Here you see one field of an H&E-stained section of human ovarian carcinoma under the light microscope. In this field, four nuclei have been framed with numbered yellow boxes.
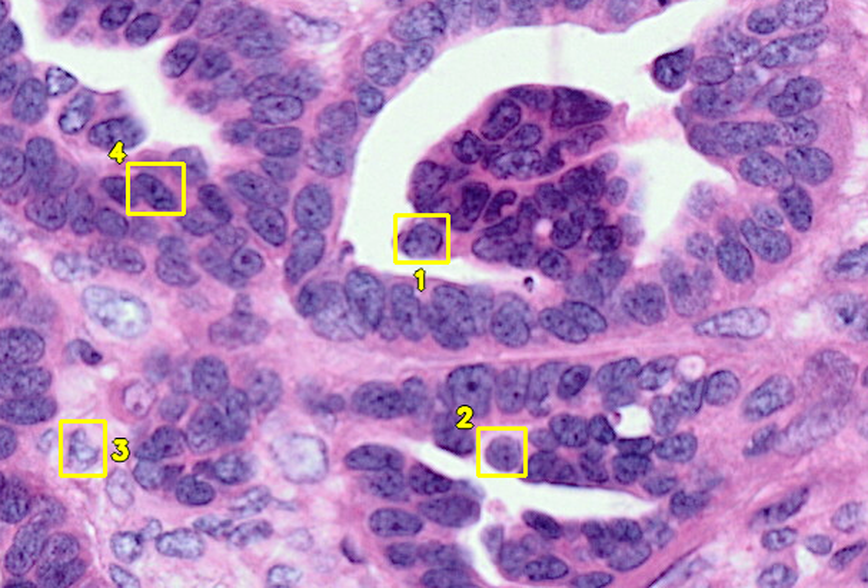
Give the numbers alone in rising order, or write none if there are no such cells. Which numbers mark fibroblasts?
3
